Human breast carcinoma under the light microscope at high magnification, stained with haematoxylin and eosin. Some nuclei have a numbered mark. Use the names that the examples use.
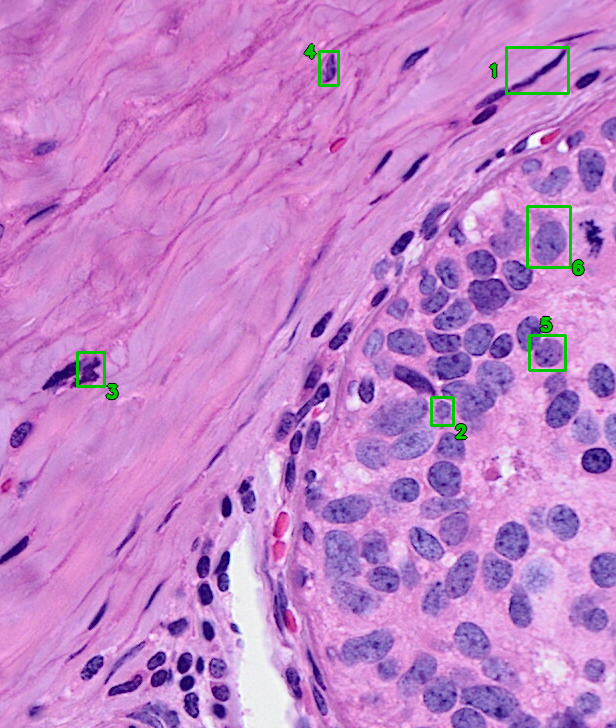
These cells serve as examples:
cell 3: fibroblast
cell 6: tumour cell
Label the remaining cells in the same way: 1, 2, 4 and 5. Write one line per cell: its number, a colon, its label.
1: fibroblast
2: tumour cell
4: fibroblast
5: tumour cell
